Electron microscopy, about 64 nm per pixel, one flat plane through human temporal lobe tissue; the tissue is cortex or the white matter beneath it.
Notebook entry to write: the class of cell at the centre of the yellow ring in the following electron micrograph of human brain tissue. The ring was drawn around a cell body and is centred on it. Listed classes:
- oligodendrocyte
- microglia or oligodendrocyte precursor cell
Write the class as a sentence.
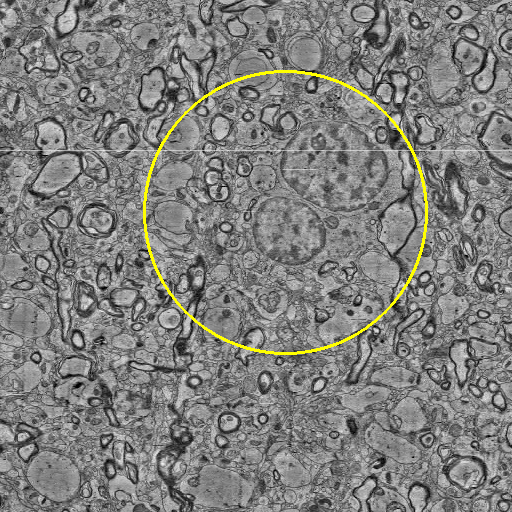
The yellow ring sits on an oligodendrocyte.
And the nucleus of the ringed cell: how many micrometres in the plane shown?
The nucleus measures about 4 micrometers across in this plane.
